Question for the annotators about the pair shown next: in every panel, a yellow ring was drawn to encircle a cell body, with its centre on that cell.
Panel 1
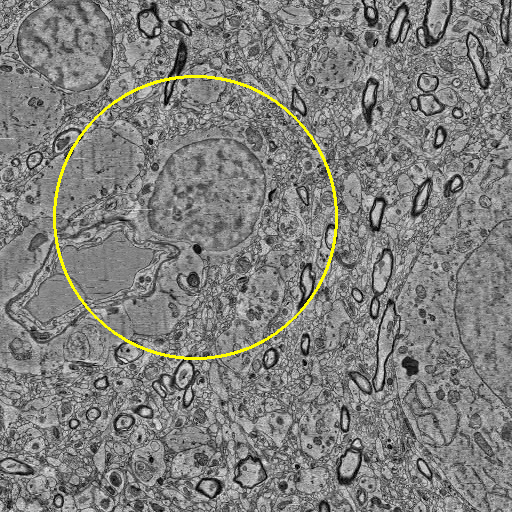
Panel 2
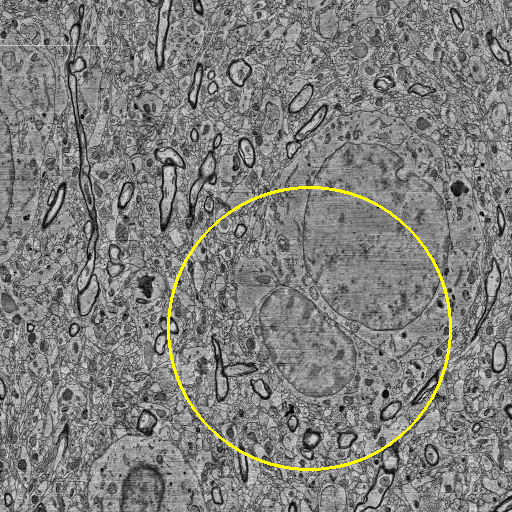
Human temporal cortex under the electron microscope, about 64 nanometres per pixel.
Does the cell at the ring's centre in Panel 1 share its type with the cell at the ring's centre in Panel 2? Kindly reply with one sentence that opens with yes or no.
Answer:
Yes, in Panels 1 and 2 the cells at the ring centres belong to a single type.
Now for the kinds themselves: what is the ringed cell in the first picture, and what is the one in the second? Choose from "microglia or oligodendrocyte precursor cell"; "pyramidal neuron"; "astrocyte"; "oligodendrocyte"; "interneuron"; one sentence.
Both cells are the same kind, each one being an oligodendrocyte.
